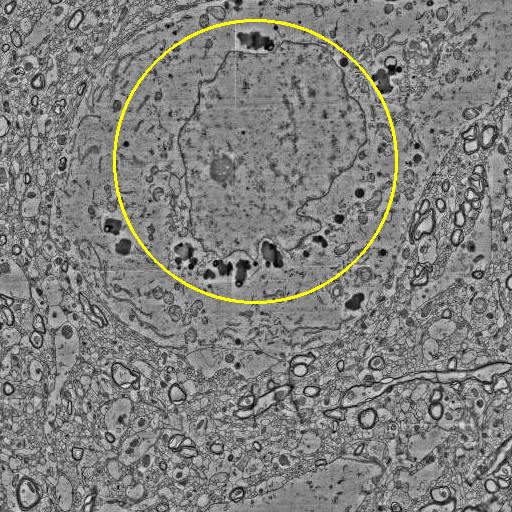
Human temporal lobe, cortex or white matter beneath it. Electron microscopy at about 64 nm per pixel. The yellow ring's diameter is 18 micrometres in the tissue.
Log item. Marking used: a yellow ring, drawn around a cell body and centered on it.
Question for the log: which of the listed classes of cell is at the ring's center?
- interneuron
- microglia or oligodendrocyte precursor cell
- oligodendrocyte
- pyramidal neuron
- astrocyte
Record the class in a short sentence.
At the center of the ring lies a pyramidal neuron.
